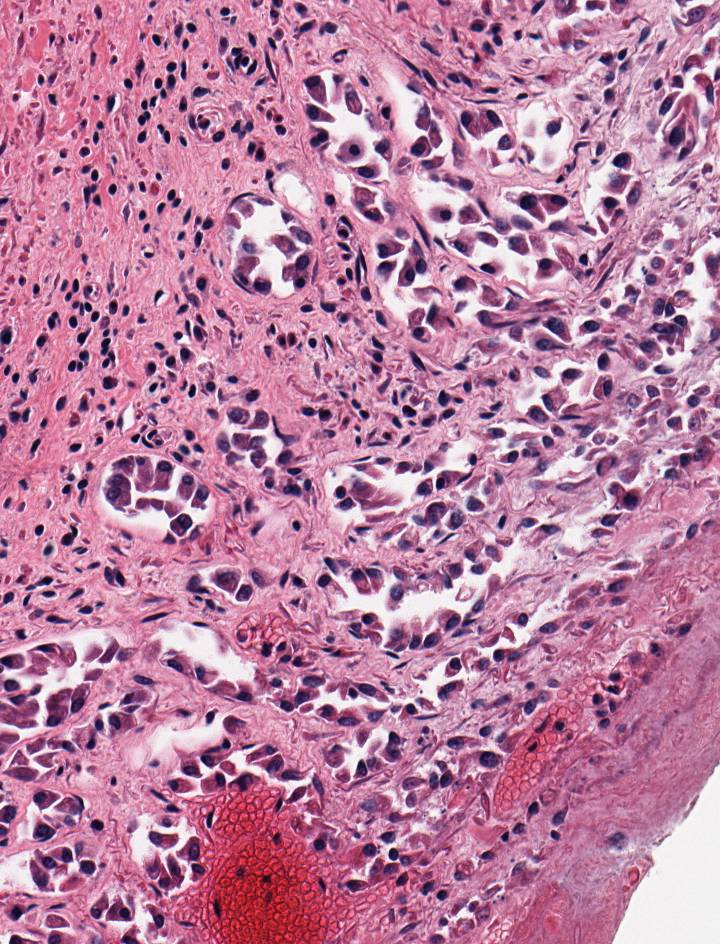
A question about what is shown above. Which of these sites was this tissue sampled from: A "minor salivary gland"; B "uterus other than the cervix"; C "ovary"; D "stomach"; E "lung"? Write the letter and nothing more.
D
